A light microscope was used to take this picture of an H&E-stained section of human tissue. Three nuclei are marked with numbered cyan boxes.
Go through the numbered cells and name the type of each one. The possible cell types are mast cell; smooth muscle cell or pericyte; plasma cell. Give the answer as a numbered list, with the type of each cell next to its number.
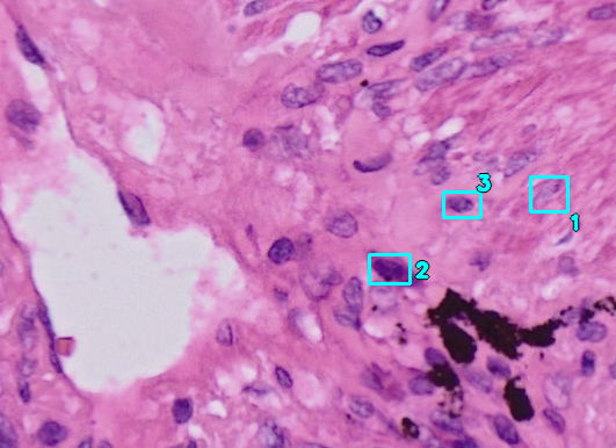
1. smooth muscle cell or pericyte
2. plasma cell
3. mast cell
